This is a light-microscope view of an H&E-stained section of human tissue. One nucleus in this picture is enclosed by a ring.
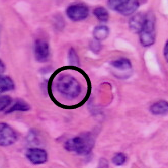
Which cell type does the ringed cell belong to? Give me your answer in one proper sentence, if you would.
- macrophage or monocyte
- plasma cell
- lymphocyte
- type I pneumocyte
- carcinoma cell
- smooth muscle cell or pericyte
To be brief about it, the ringed cell is a plasma cell.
